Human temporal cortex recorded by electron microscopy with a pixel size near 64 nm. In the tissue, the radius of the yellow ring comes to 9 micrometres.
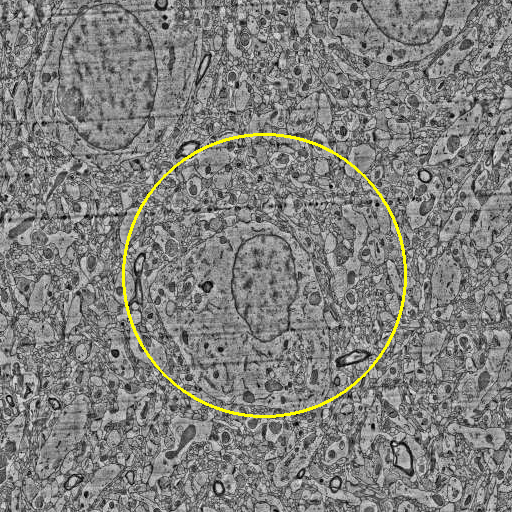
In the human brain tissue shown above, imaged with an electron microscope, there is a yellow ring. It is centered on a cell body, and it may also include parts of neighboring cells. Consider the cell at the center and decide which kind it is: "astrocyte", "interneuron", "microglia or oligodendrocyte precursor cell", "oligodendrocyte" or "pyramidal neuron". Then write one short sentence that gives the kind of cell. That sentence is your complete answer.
This centered cell body is that of a pyramidal neuron.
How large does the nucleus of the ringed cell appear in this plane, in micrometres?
About 7 by 5 micrometers, in this plane.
